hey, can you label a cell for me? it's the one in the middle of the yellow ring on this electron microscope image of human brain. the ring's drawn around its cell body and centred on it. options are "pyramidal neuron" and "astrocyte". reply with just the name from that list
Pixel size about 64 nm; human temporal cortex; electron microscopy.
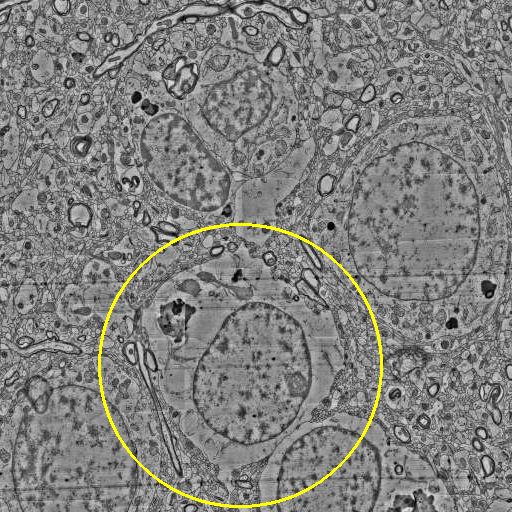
astrocyte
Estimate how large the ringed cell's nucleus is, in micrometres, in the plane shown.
Approximately 9 micrometres long and 7 micrometres wide, in this plane.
